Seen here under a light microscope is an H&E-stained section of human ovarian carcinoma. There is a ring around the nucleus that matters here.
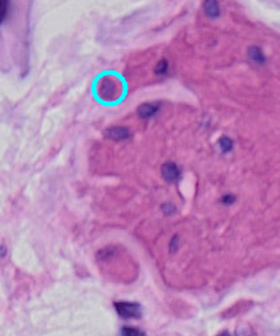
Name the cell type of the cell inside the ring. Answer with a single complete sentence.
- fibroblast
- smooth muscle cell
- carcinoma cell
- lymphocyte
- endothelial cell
For cell typing purposes, the cell inside the ring is a smooth muscle cell.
